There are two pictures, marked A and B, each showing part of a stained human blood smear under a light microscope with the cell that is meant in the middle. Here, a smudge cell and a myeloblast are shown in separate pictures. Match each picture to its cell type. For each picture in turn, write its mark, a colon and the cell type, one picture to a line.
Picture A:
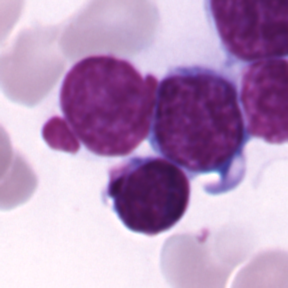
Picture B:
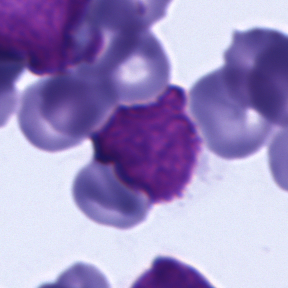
A: myeloblast
B: smudge cell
